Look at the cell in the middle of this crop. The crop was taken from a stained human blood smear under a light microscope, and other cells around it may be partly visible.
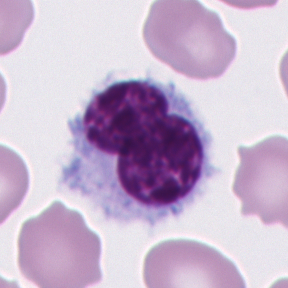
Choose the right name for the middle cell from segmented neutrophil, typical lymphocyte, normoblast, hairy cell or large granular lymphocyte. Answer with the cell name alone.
hairy cell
